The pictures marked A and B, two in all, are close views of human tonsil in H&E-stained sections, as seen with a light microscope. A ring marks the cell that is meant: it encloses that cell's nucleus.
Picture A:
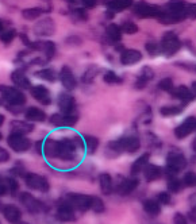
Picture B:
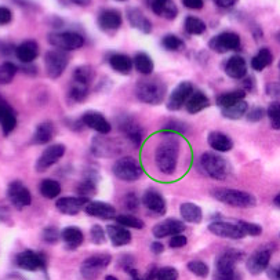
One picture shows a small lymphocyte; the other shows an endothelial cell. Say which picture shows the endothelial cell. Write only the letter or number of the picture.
B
